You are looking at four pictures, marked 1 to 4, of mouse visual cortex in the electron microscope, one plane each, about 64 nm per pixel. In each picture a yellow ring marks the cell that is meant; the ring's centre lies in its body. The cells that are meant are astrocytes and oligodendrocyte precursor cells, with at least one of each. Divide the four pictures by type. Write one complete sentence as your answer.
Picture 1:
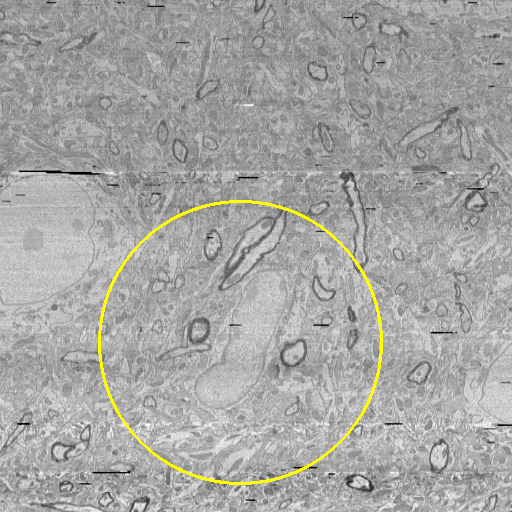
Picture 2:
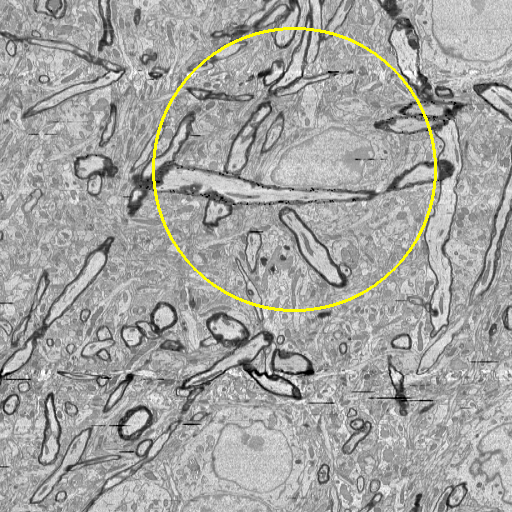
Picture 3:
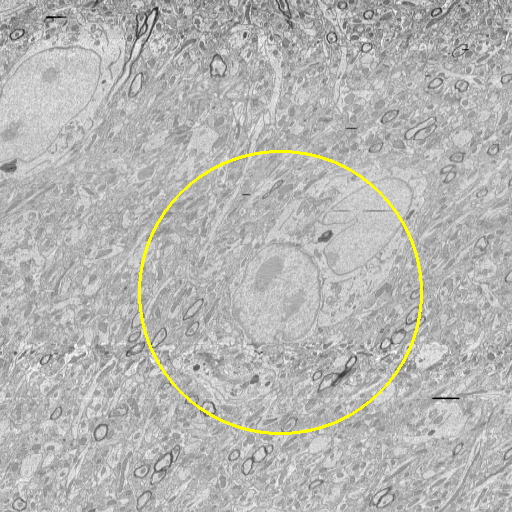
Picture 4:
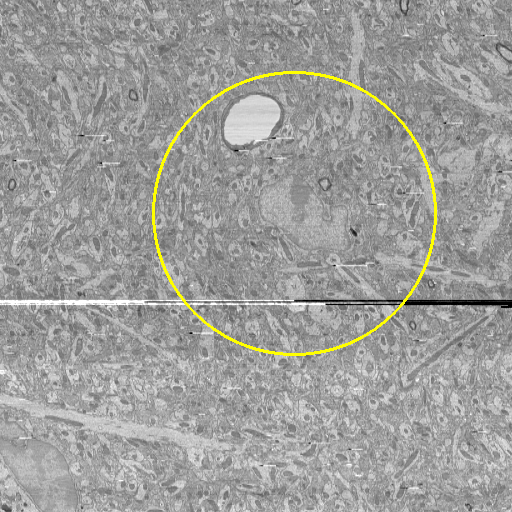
Picture 1 shows an astrocyte, while pictures 2, 3 and 4 show oligodendrocyte precursor cells.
